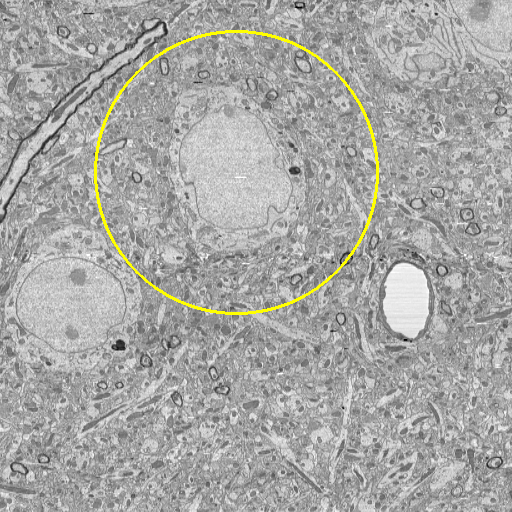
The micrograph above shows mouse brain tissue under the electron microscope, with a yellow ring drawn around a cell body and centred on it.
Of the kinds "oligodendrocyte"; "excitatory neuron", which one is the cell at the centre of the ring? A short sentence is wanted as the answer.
The one at the centre of the ring is an excitatory neuron.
